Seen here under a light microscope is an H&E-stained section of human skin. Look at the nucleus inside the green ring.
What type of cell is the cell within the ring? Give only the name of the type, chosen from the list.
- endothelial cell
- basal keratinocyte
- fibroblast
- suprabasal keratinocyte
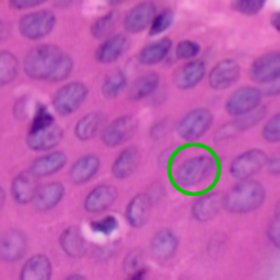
suprabasal keratinocyte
